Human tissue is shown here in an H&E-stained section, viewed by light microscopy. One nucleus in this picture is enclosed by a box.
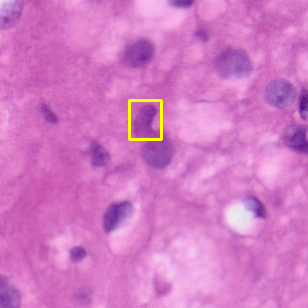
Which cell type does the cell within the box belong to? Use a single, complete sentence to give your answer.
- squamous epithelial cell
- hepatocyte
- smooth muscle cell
Within this tissue, the cell within the box is a squamous epithelial cell.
